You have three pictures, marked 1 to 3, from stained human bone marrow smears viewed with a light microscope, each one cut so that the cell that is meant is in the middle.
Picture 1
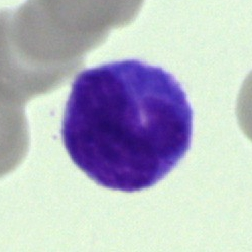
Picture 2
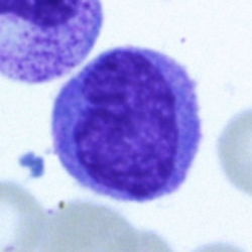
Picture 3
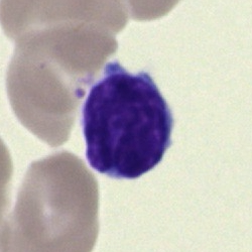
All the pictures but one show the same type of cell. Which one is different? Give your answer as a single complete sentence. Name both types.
All pictures except 3 show monocytes; picture 3 shows a lymphocyte.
